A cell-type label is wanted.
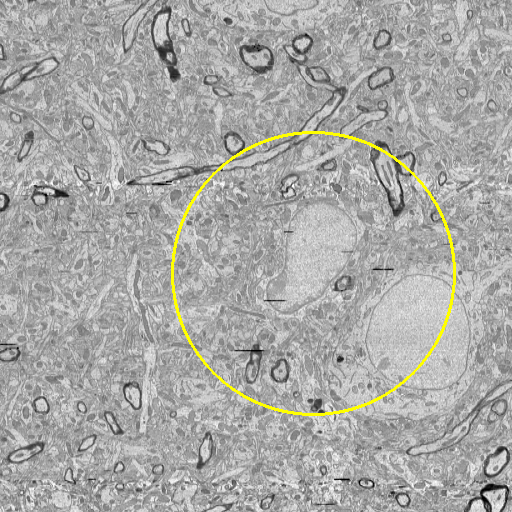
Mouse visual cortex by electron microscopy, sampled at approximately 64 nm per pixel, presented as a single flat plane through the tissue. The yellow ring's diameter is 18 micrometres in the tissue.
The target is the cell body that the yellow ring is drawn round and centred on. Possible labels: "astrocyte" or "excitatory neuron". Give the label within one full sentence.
Of the labels offered, the cell in the middle of the yellow ring is an astrocyte.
